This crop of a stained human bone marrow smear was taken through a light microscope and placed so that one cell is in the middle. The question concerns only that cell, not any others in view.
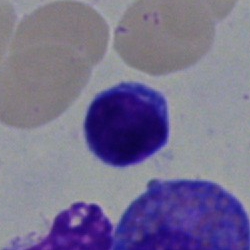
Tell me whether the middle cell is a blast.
no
